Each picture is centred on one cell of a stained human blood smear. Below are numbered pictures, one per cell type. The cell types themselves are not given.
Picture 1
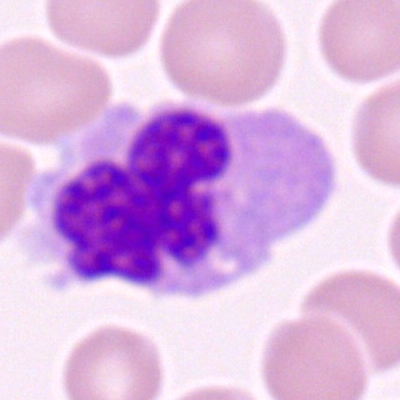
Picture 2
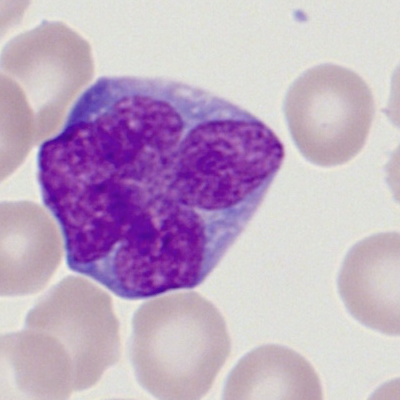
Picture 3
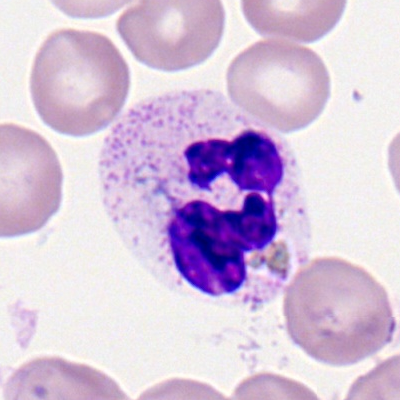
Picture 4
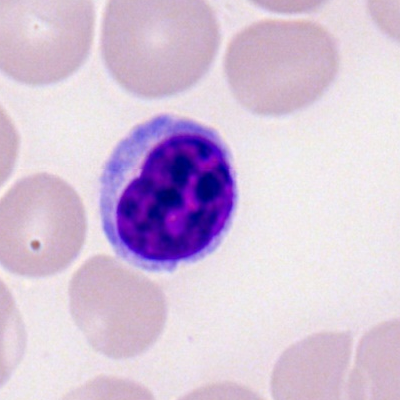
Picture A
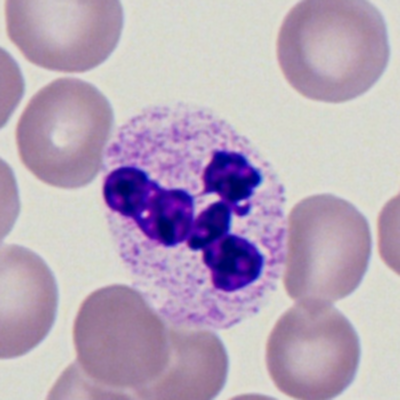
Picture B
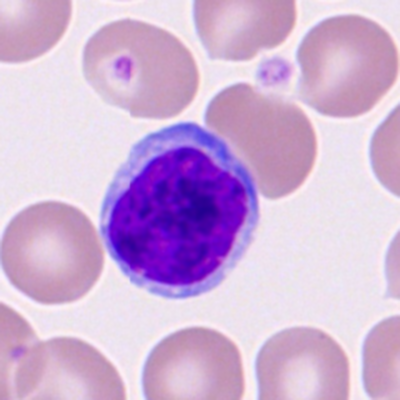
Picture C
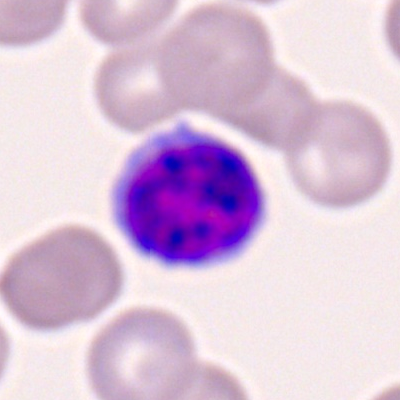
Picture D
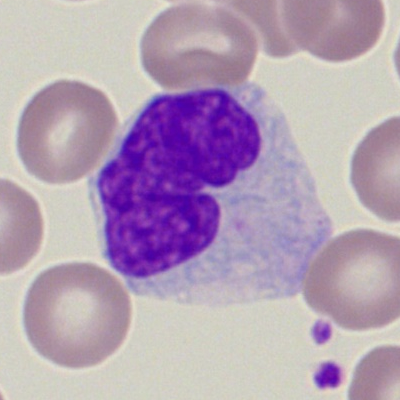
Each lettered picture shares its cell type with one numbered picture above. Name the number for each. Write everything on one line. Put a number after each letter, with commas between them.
A 3, B 4, C 4, D 1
